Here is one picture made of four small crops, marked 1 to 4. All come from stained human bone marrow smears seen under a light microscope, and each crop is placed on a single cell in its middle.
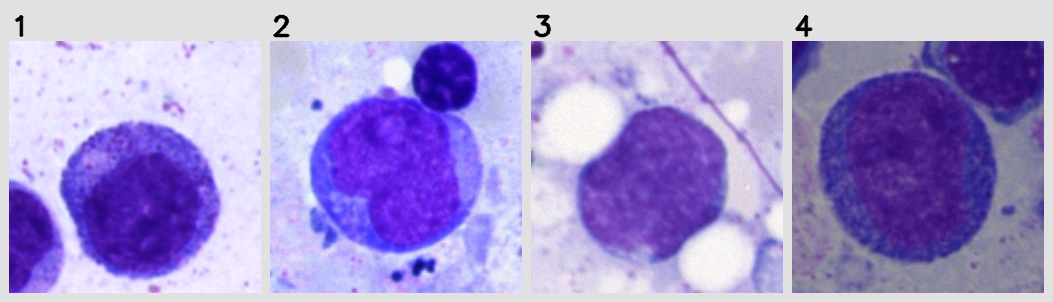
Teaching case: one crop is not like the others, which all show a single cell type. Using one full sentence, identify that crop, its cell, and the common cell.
Crop 1 contains a promyelocyte, setting it apart from the other crops, which all contain blasts.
